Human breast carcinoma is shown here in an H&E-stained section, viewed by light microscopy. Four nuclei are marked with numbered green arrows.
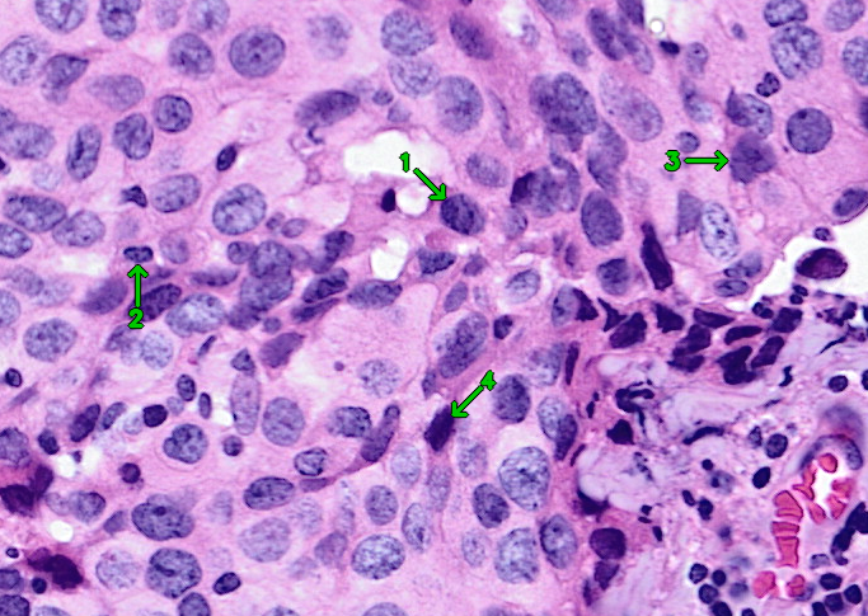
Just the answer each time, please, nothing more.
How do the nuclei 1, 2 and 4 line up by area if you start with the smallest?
2, 4, 1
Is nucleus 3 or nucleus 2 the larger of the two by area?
3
